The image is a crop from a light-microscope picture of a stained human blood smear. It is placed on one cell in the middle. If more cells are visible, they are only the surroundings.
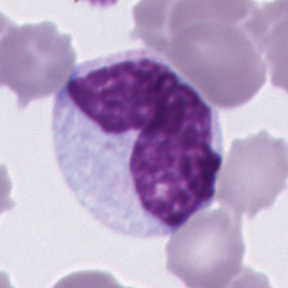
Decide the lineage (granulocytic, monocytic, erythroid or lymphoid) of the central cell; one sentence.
The cell found in the center of the crop is of the monocytic lineage.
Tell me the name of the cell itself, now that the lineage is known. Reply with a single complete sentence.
On this slide crop, the central cell is a monocyte.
